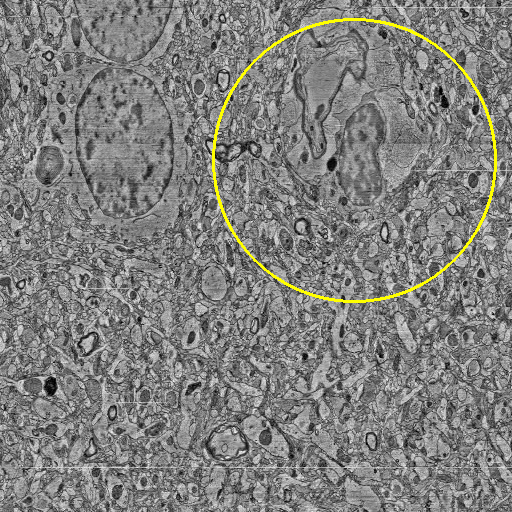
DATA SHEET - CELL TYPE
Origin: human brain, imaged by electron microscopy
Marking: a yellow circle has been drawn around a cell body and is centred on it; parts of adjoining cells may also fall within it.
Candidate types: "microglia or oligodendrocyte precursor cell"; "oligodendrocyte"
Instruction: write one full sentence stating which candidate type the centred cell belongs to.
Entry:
The cell body at the centre of the yellow ring in this micrograph belongs to an oligodendrocyte.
